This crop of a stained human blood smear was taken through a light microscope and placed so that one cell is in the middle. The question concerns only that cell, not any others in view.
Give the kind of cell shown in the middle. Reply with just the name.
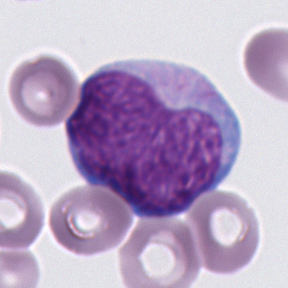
atypical promyelocyte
